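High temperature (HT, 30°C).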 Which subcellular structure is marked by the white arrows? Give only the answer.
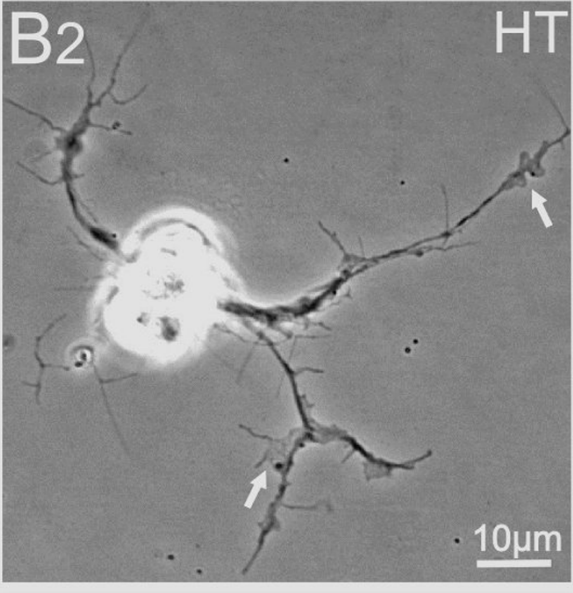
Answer: phase-light lamellipodia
